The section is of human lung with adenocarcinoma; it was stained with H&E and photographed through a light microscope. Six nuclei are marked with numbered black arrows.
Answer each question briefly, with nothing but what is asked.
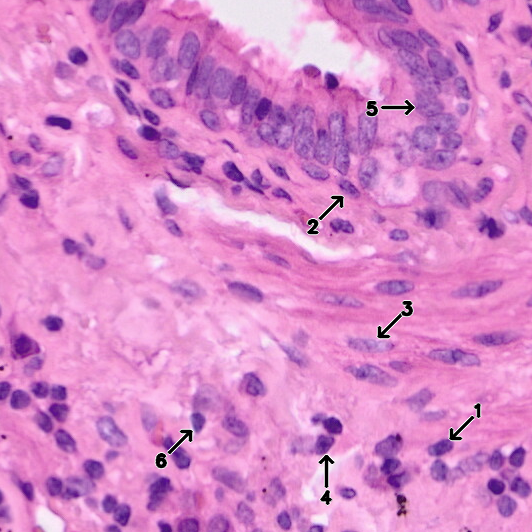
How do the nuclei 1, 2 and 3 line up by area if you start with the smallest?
2, 1, 3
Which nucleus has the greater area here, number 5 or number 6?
5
